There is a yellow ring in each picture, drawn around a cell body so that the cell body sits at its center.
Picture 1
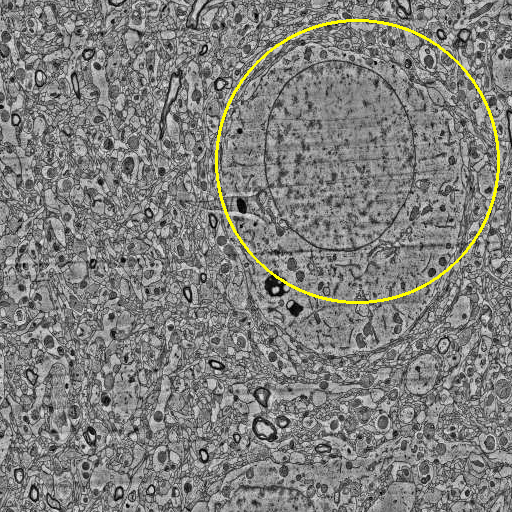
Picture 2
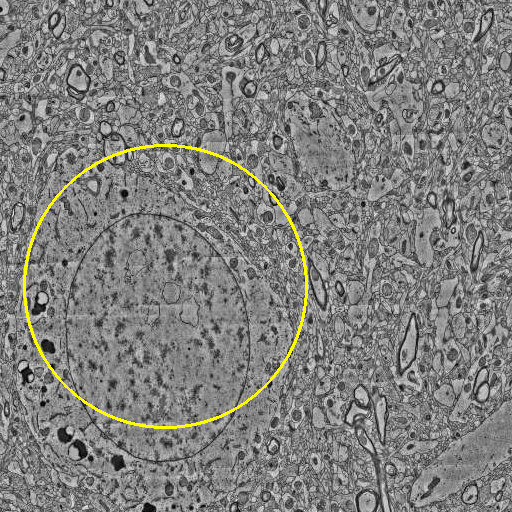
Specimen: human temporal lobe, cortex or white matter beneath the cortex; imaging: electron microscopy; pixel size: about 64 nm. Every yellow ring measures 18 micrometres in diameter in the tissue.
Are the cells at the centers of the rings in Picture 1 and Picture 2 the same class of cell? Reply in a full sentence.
Yes, the two cells are the same class of cell.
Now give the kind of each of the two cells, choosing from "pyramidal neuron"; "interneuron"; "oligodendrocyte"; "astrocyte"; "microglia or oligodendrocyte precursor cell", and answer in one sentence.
Each cell, in the first picture and the second, is a pyramidal neuron.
